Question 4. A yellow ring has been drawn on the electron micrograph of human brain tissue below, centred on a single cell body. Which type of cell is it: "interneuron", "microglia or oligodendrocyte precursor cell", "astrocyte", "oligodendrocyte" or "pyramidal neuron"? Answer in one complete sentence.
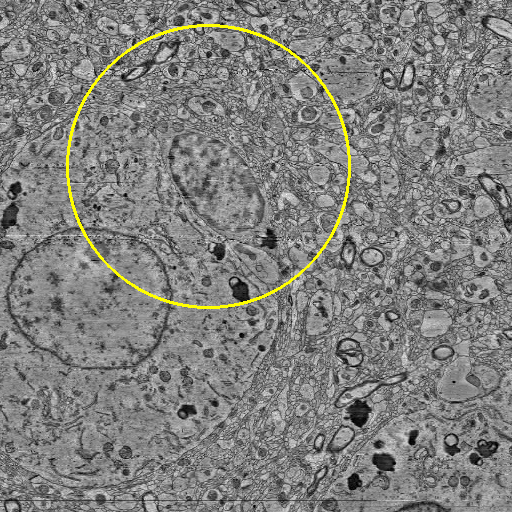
This cell body belongs to an oligodendrocyte.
